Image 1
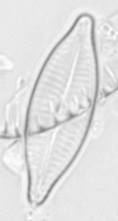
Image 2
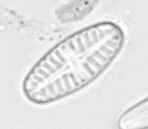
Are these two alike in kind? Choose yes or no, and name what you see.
No. First Navicula, second Planothidium.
